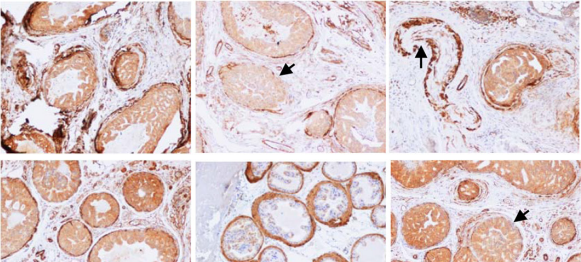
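A thin brown rim encircles most acini on their outer edge, and in some acini this rim looks thin or broken. In several fields the epithelium itself also takes up a pale brown tint.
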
